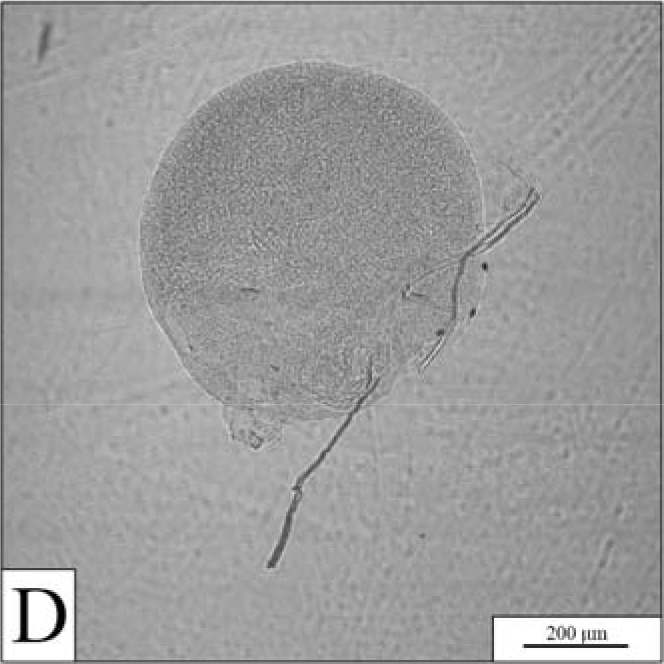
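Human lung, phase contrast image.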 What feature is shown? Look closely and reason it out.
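A round, compact body with a finely granular texture. It sits free on a plain background. A thin thread runs across its lower right side.
Conclusion: organoid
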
